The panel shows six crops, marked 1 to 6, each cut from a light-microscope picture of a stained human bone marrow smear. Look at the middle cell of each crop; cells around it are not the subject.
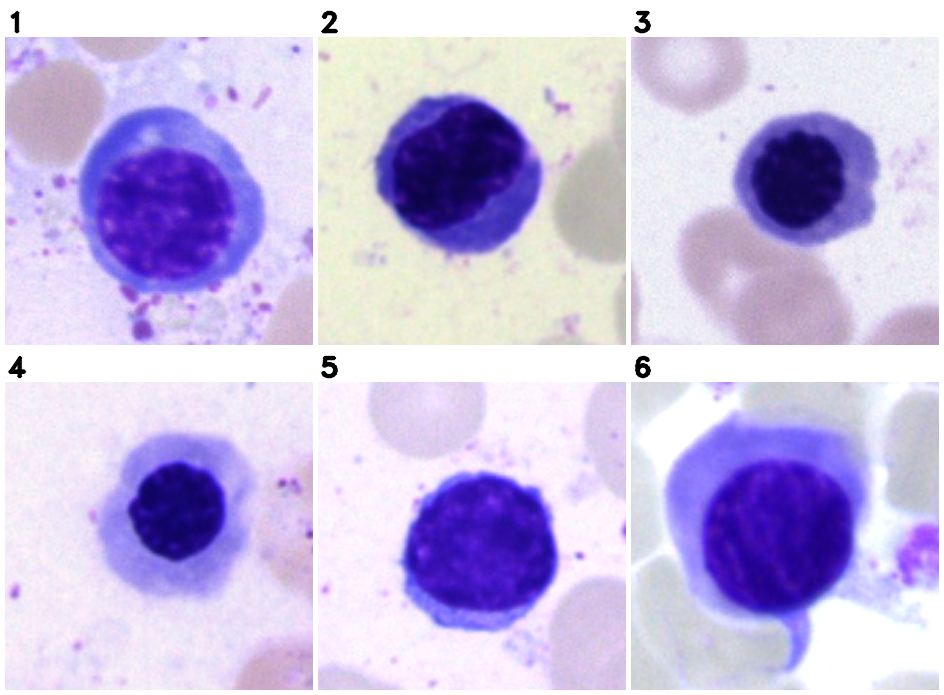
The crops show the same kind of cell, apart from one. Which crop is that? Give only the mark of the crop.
5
